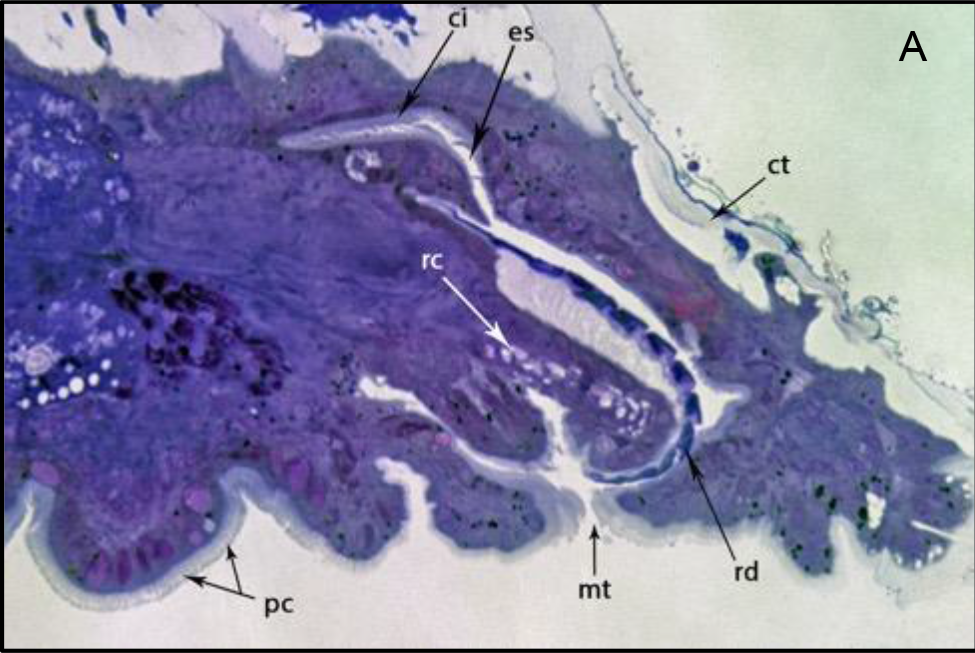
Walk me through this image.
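A curved, dark blue radula lies against a mass of vacuolated cells and leads down to the ventral mouth opening. A slit-like esophagus runs dorsally, a thin detached cuticle lies over the dorsal surface, and the ventral epithelium bears a pale fringe of cilia.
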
